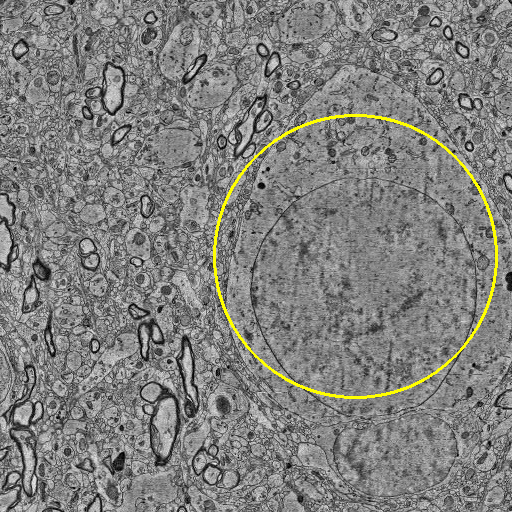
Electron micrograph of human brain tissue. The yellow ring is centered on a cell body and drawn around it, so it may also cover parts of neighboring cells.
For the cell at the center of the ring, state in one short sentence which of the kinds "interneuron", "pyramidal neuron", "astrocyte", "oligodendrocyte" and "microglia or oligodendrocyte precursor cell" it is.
This ring is centered on a pyramidal neuron.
